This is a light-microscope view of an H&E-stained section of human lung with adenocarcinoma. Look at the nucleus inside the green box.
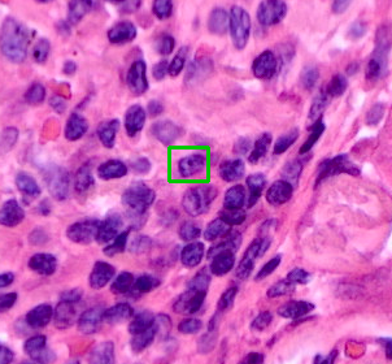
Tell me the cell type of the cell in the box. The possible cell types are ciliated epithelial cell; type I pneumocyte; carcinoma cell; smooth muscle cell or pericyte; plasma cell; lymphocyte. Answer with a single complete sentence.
For the purposes of cell typing, the cell in the box is categorized as a lymphocyte.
